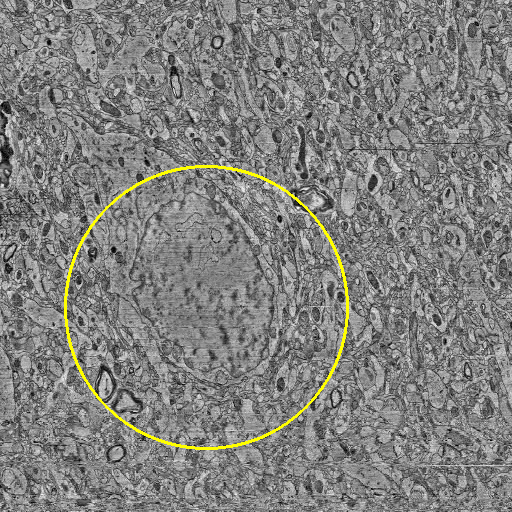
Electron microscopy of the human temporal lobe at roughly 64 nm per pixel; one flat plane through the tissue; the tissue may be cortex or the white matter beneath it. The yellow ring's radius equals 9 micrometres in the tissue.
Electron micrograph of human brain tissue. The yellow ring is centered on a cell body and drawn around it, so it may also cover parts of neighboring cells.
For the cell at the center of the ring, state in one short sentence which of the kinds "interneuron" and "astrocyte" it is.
This ring is centered on an interneuron.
